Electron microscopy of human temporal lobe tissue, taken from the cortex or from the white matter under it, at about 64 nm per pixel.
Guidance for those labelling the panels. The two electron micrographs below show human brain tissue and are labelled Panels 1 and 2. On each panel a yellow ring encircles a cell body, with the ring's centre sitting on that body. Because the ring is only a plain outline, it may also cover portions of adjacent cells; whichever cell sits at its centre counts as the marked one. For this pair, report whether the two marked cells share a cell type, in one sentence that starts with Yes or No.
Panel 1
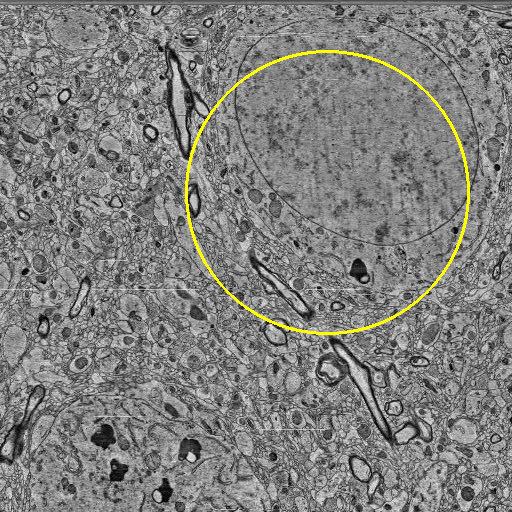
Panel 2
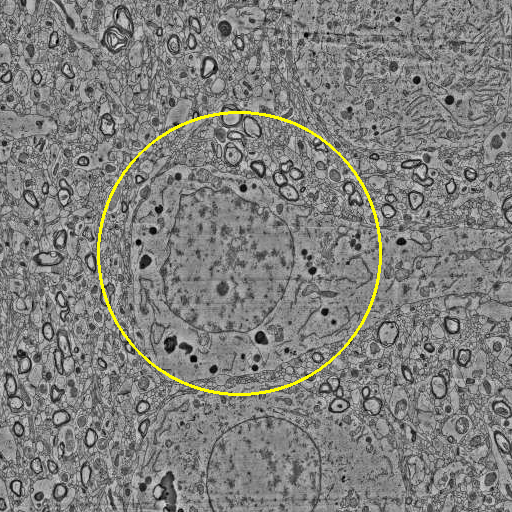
Yes, in Panel 1 and Panel 2 the marked cells at the ring centres share one type.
